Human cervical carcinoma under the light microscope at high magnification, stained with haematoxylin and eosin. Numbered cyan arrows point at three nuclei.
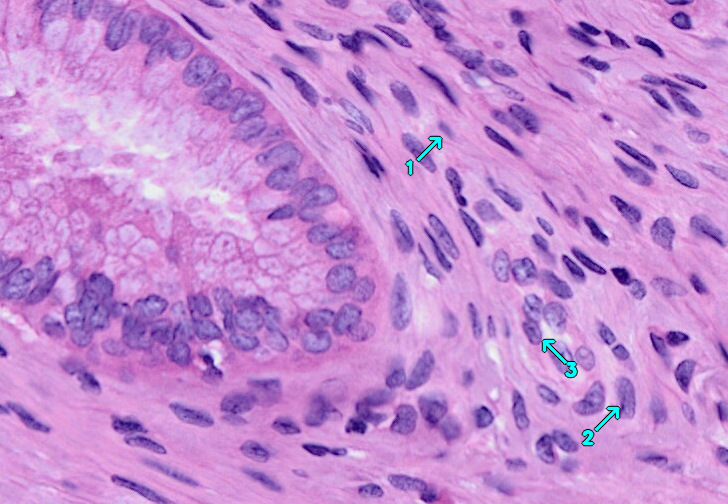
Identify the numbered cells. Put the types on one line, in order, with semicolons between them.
fibroblast; fibroblast; endothelial cell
